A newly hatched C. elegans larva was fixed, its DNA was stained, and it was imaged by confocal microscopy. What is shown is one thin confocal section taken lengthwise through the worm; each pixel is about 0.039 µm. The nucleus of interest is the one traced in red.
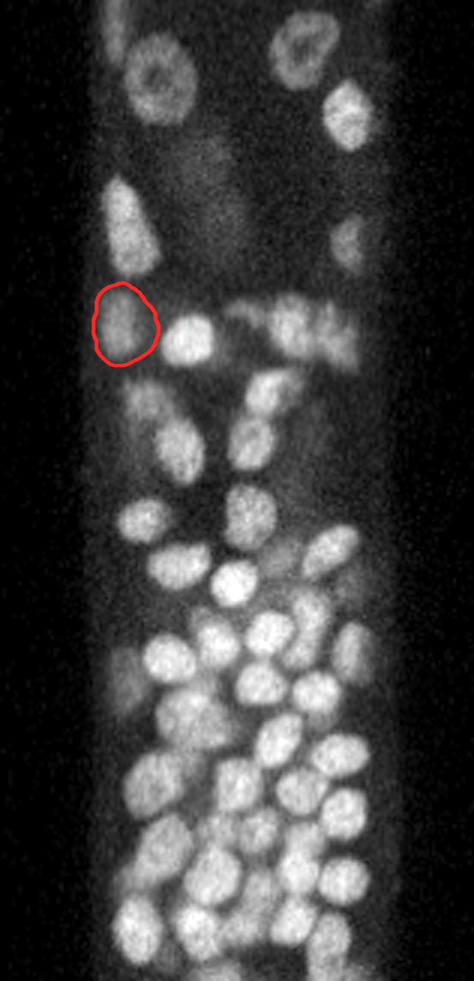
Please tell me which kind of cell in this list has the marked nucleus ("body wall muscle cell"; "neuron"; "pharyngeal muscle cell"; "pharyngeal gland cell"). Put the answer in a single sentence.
This is the nucleus of a body wall muscle cell.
